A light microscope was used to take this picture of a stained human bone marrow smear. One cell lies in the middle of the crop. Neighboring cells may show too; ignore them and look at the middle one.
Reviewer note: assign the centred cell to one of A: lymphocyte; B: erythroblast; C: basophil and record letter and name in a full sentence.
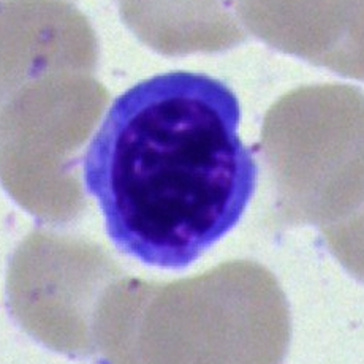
The expected answer is option B, the central cell being an erythroblast.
